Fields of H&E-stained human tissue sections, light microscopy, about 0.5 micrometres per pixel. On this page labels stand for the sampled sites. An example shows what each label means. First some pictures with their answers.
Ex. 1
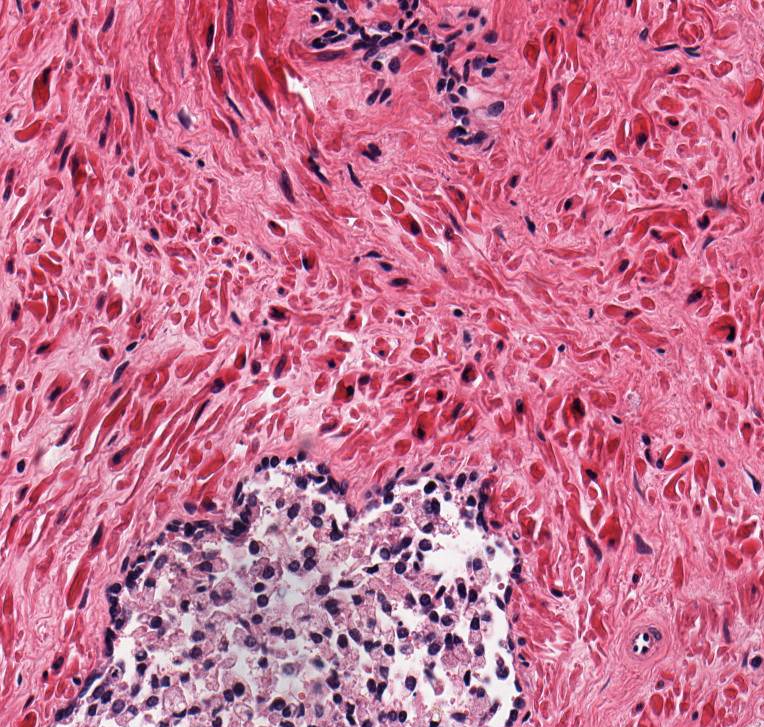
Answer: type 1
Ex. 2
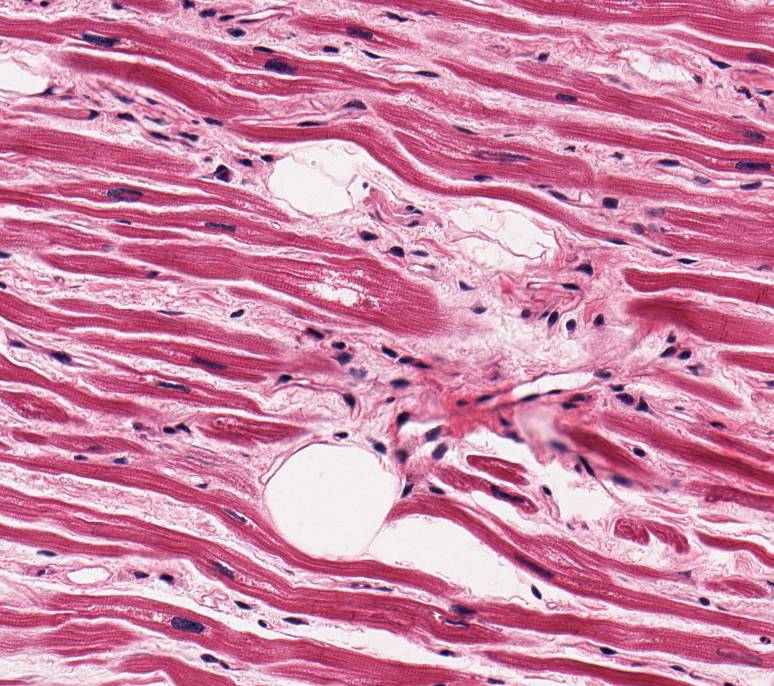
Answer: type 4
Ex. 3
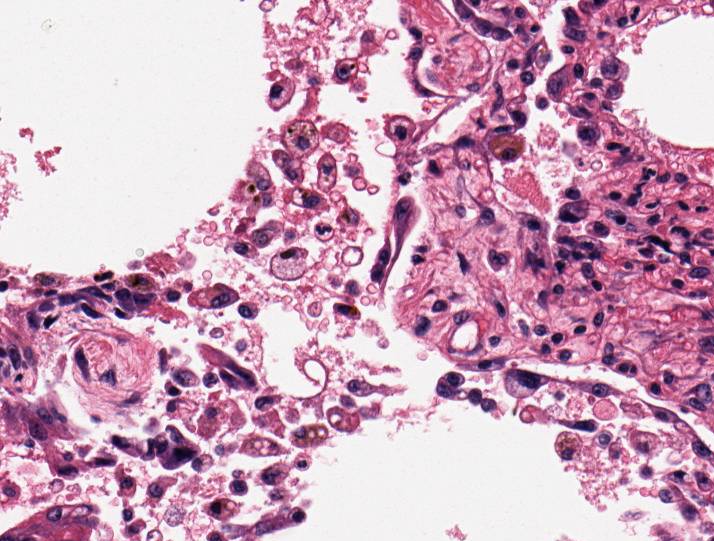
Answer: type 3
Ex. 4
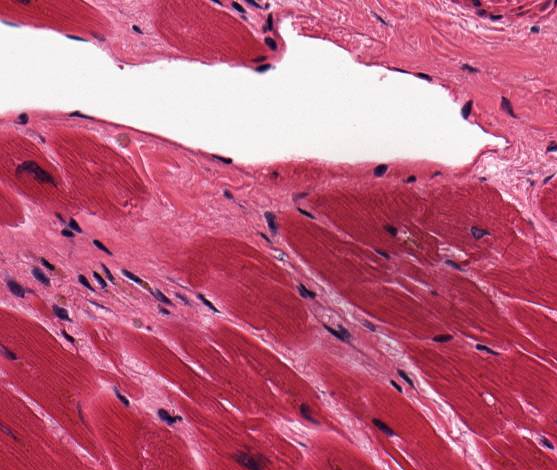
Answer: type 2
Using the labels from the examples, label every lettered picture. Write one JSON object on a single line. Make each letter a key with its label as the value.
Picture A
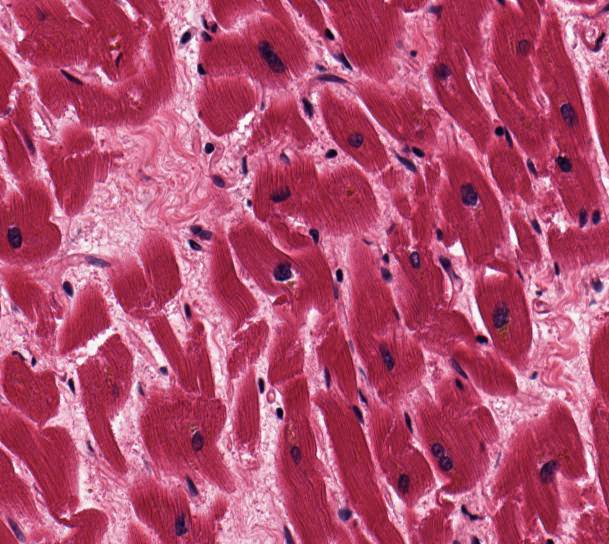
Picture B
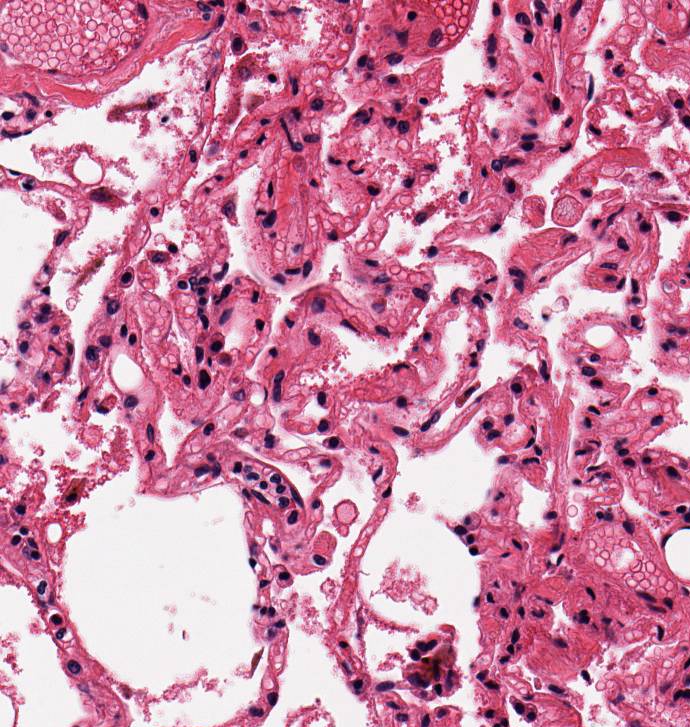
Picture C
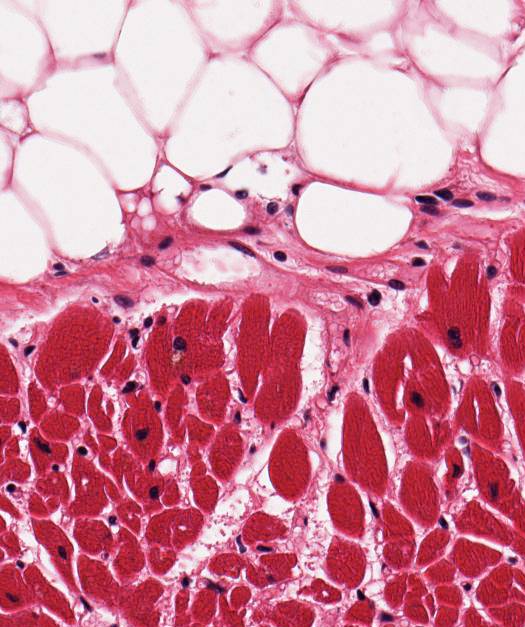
{"A": "type 2", "B": "type 3", "C": "type 2"}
